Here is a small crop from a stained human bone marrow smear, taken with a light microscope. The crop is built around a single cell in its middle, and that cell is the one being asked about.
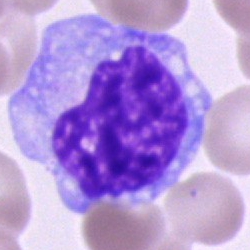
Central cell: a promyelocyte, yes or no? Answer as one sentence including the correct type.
No, not a promyelocyte: the cell in the middle of this crop is a monocyte.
